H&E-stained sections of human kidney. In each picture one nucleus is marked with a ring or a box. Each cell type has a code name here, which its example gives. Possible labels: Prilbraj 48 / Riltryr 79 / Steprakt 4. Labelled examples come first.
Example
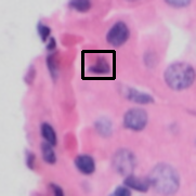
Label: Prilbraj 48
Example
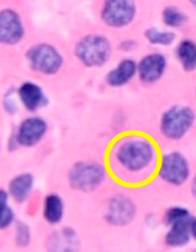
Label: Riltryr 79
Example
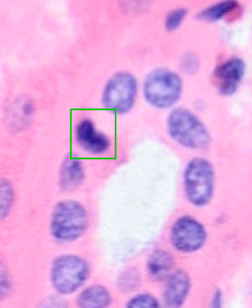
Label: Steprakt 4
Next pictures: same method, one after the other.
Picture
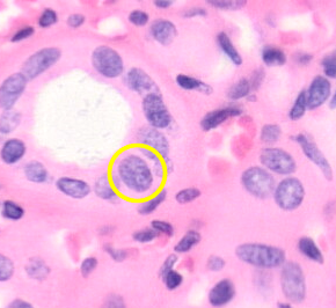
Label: Steprakt 4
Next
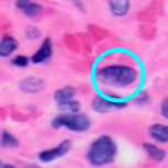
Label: Prilbraj 48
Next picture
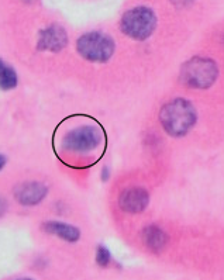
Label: Prilbraj 48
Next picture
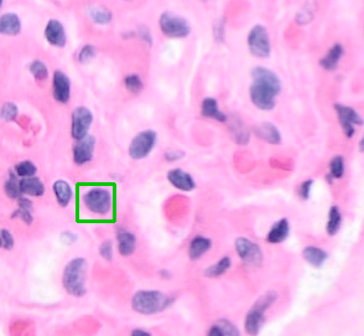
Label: Prilbraj 48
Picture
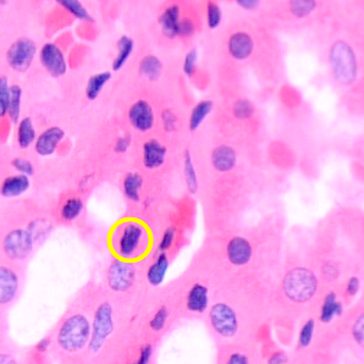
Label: Riltryr 79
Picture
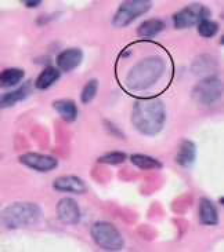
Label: Steprakt 4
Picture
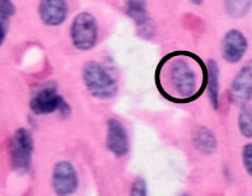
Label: Riltryr 79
